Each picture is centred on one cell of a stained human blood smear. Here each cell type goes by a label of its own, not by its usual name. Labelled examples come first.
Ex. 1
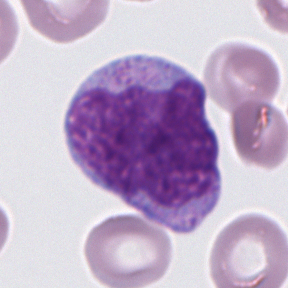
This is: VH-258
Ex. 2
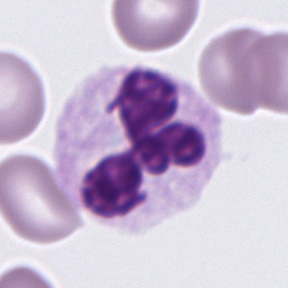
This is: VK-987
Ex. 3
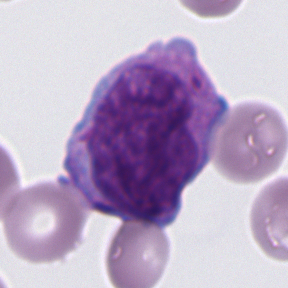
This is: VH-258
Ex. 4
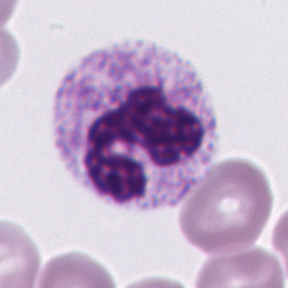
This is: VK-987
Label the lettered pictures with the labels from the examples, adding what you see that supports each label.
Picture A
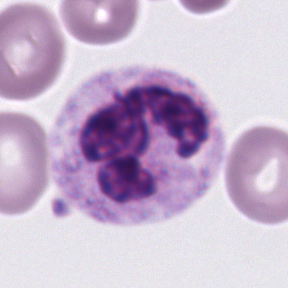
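Label: VK-987. The nucleus is divided into three lobes.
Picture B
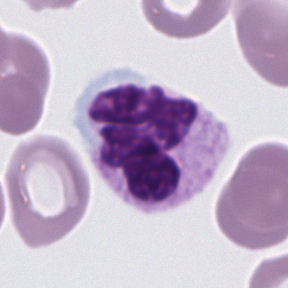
Label: VK-987. The nucleus is folded into several overlapping lobes.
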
